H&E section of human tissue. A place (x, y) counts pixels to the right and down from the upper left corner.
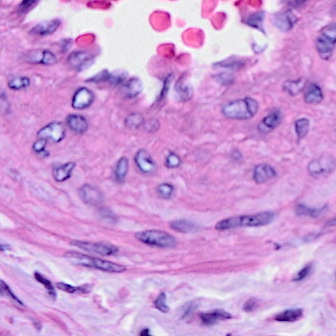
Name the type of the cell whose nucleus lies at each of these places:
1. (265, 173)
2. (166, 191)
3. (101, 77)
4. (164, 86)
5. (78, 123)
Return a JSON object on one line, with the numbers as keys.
{"1": "smooth muscle cell", "2": "smooth muscle cell", "3": "endothelial cell", "4": "endothelial cell", "5": "smooth muscle cell"}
